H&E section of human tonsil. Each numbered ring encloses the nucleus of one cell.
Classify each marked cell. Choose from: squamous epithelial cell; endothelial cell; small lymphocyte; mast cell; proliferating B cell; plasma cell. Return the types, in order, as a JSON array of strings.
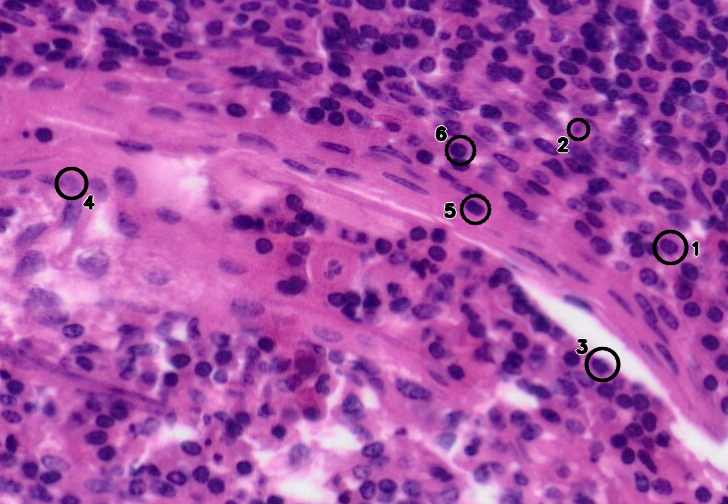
["plasma cell", "squamous epithelial cell", "plasma cell", "squamous epithelial cell", "squamous epithelial cell", "plasma cell"]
